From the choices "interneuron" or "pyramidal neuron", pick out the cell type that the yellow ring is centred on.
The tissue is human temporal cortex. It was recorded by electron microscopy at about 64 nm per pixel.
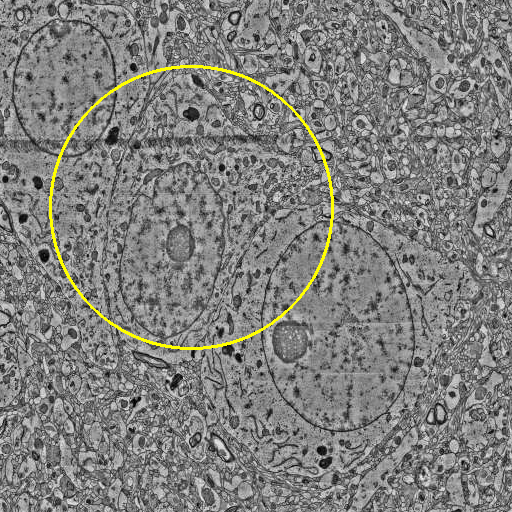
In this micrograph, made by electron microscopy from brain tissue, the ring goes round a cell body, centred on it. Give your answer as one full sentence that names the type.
The yellow ring is centred on an interneuron, whose cell body it encircles in the picture.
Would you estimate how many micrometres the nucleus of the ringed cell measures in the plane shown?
Approximately 11 by 7 micrometers, which makes the nucleus clearly longer than it is wide in this plane.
